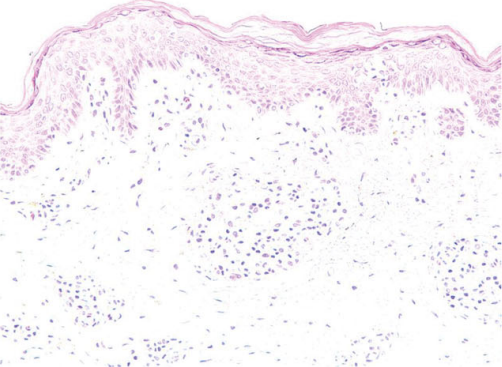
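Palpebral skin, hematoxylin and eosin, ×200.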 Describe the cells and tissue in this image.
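In the dermis, small round cells with dark purple nuclei and very little cytoplasm gather in loose clusters around small vessels, most densely in the upper and middle dermis. Between these clusters the connective tissue stains only faintly, looking loose and widely spaced, with scattered spindle-shaped nuclei of fibroblasts.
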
